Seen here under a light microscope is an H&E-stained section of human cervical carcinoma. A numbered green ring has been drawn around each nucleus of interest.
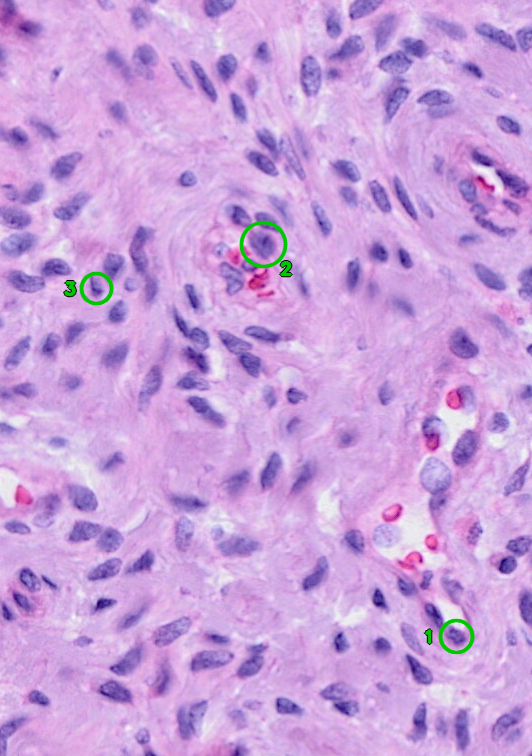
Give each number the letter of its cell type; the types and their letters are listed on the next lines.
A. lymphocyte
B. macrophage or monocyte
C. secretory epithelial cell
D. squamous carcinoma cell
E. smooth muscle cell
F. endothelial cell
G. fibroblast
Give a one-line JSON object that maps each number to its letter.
{"1": "F", "2": "F", "3": "G"}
